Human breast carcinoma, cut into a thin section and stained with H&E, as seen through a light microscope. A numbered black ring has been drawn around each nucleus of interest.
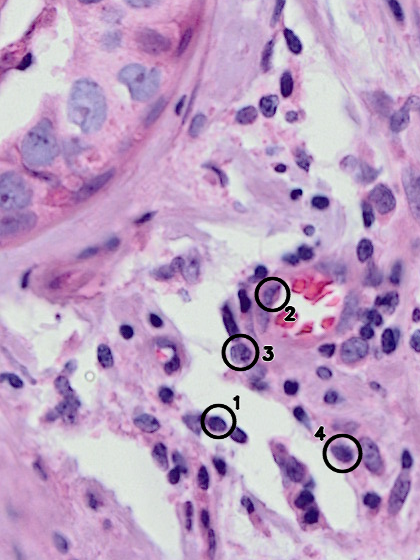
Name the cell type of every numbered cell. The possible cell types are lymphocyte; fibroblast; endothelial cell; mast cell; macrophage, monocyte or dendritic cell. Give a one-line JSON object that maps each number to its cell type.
{"1": "lymphocyte", "2": "endothelial cell", "3": "lymphocyte", "4": "lymphocyte"}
